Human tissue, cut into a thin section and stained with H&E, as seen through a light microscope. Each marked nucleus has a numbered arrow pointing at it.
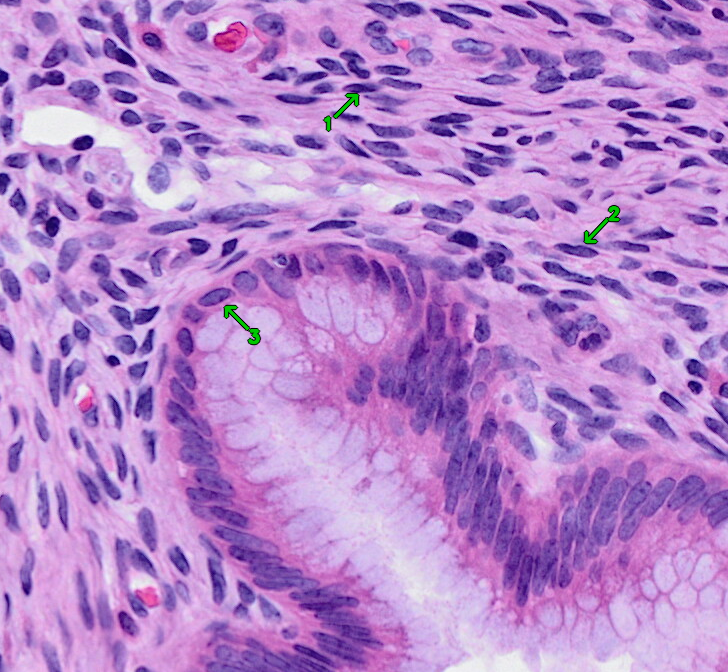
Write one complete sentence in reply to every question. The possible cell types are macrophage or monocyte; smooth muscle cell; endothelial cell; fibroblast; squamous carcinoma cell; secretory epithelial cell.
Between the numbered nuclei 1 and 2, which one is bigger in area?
Nucleus 2 is the larger one, covering about 1.5 times the area of nucleus 1.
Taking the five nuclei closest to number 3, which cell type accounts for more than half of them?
Secretory epithelial cells account for more than half of the five nuclei nearest to number 3.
